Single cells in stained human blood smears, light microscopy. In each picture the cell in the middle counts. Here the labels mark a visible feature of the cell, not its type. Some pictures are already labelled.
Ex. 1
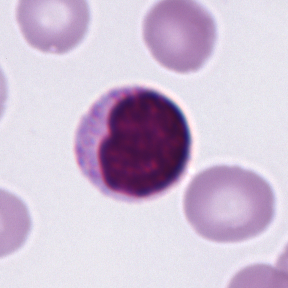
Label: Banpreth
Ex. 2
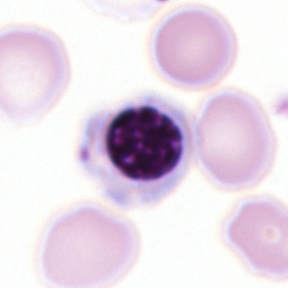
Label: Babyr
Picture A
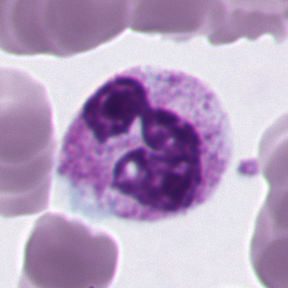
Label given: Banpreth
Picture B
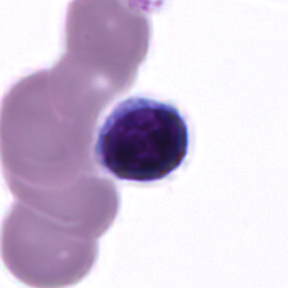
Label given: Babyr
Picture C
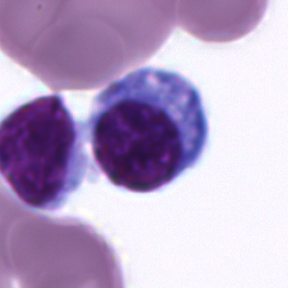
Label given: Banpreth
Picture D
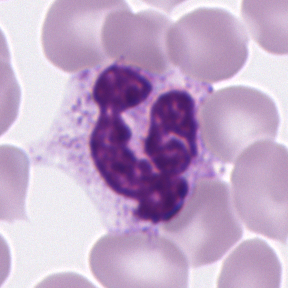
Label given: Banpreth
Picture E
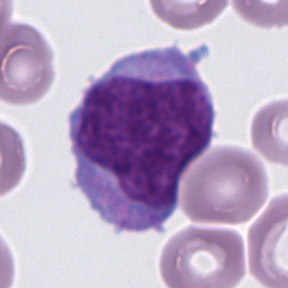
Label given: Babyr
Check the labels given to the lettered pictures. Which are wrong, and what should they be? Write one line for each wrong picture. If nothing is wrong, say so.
B: not Babyr but Banpreth
D: not Banpreth but Babyr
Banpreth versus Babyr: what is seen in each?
Banpreth: smooth outline; Babyr: ragged outline or projections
